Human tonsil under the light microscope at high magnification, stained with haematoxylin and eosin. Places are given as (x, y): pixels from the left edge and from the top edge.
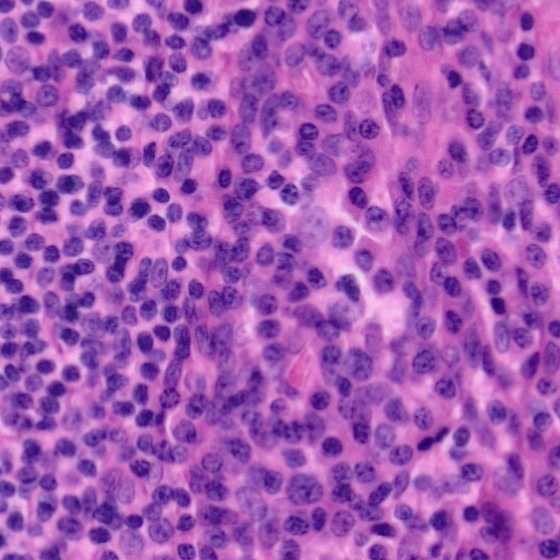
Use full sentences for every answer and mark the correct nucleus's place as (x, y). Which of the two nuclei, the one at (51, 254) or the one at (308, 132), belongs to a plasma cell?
Of the pair, the nucleus located at (308, 132) belongs to a plasma cell.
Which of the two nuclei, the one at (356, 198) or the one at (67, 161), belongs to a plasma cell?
Lying within a plasma cell is the nucleus at (356, 198).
